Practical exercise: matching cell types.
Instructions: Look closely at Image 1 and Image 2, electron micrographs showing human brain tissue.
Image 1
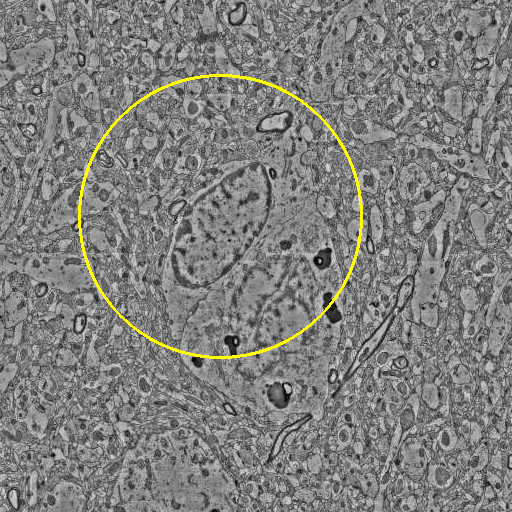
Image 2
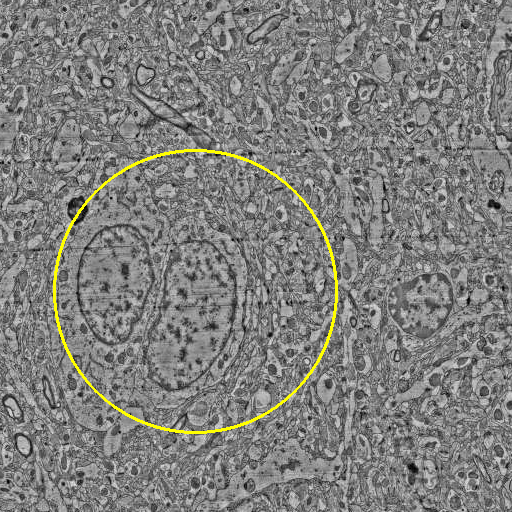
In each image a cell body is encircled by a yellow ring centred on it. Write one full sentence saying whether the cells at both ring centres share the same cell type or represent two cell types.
Across Image 1 and Image 2, the cells at the ring centres represent two cell types.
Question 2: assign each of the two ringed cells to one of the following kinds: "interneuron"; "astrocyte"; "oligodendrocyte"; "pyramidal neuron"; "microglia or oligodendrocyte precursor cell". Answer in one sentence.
The two cells are a microglial cell or oligodendrocyte precursor cell in the first picture and an interneuron in the second.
